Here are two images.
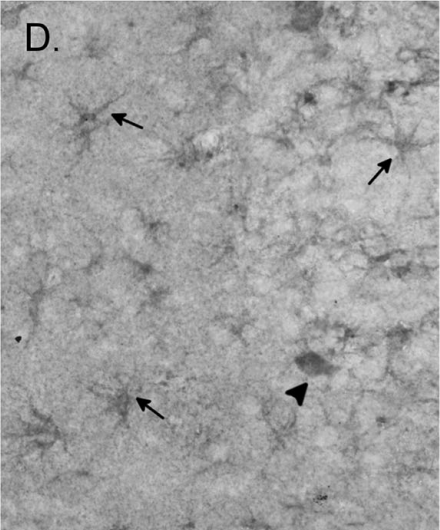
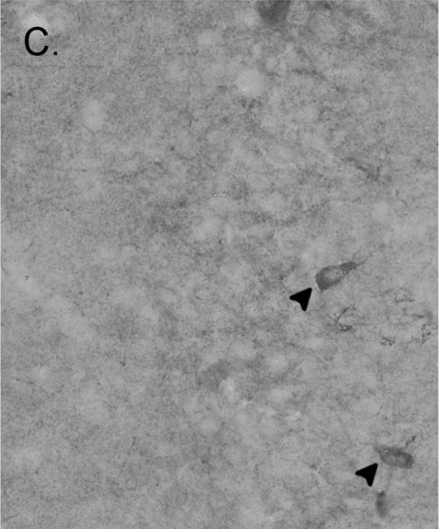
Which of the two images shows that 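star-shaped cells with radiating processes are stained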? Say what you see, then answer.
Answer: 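The first image. First image: many dark star-shaped profiles with fine processes scattered across the field. Second image: only a few dark cell bodies stand out against a pale, even background.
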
